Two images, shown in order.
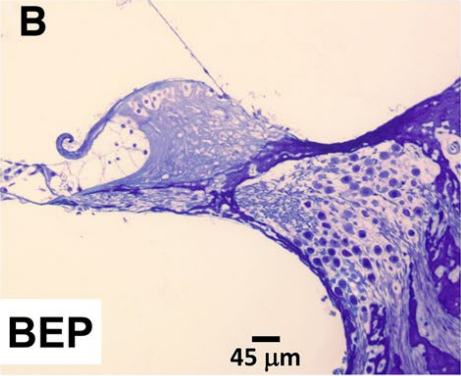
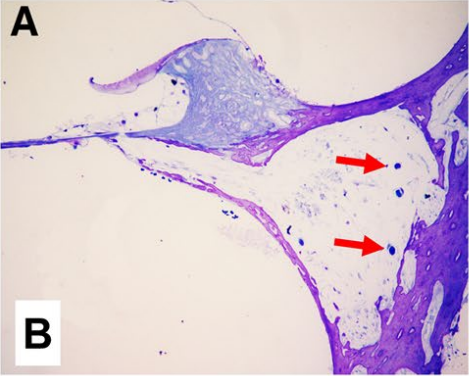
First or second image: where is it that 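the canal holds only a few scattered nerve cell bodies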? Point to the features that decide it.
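First image: the canal is densely filled with many round blue cell bodies. Second image: the canal is mostly pale and empty, with only a few dark cell bodies.
Conclusion: the second image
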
